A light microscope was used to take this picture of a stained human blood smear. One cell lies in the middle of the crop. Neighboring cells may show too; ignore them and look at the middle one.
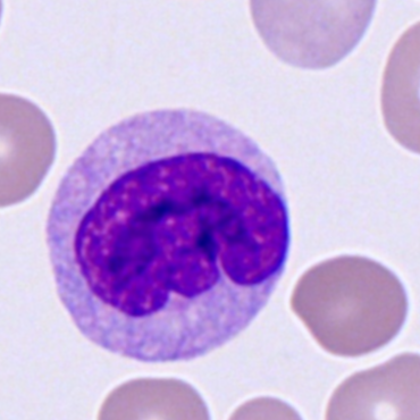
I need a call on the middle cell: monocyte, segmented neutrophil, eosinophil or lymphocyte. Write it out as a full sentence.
Where the crop is centred, there is a monocyte.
